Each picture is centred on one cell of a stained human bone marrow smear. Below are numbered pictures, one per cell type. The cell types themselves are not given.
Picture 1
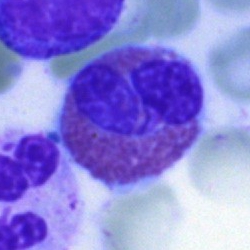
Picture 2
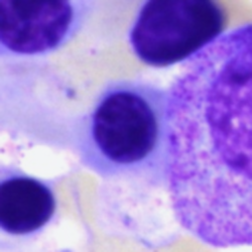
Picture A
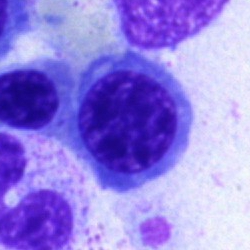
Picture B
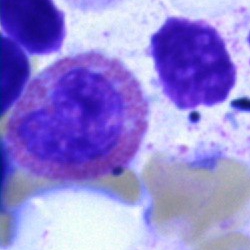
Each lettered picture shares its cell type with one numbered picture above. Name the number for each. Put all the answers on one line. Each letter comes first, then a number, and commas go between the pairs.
A 2, B 1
